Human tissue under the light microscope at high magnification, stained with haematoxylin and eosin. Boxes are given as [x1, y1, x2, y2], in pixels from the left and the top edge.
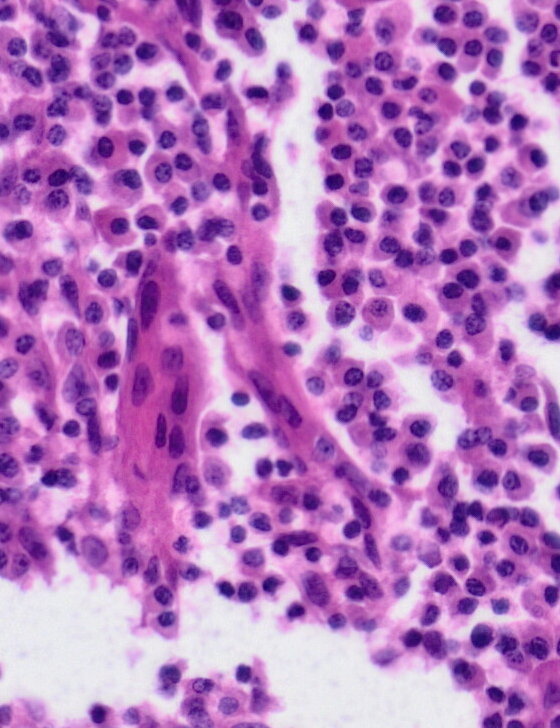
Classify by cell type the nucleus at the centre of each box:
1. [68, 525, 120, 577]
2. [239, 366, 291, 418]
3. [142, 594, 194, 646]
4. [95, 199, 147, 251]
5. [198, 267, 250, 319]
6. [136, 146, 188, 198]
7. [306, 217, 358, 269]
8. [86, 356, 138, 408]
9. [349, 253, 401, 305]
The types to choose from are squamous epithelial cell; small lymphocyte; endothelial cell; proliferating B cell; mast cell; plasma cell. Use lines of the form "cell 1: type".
cell 1: squamous epithelial cell
cell 2: squamous epithelial cell
cell 3: plasma cell
cell 4: plasma cell
cell 5: squamous epithelial cell
cell 6: plasma cell
cell 7: plasma cell
cell 8: squamous epithelial cell
cell 9: plasma cell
